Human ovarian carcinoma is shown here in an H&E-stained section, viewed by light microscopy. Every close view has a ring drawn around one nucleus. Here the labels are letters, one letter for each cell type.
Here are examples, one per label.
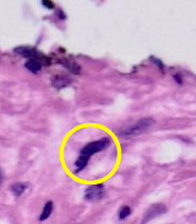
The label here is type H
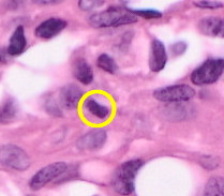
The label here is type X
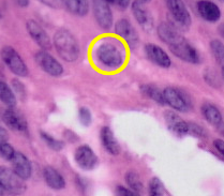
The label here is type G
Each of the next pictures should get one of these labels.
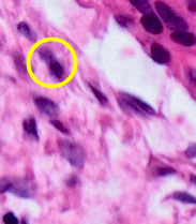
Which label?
type H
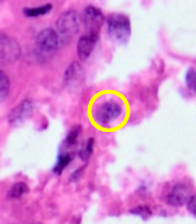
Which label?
type G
